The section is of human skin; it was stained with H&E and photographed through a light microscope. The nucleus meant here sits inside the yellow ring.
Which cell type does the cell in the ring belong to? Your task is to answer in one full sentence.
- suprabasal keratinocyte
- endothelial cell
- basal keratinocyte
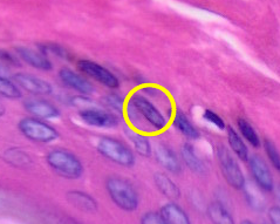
Just put down that the cell in the ring is a basal keratinocyte.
